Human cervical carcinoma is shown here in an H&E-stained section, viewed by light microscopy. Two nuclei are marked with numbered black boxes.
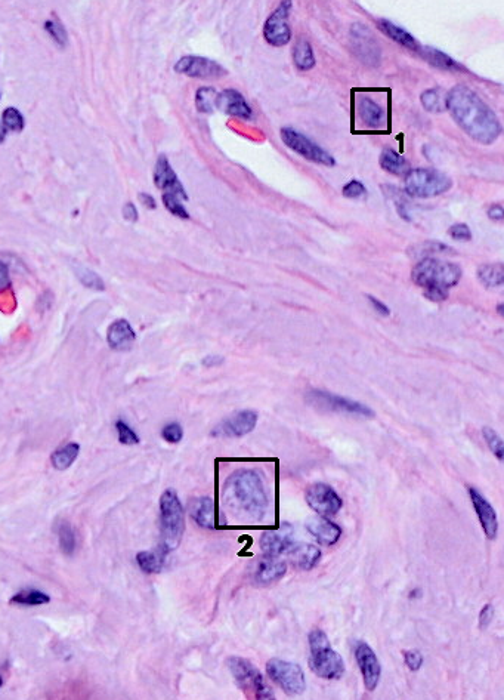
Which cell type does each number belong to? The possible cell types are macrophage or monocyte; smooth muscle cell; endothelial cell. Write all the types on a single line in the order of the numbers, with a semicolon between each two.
smooth muscle cell; endothelial cell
